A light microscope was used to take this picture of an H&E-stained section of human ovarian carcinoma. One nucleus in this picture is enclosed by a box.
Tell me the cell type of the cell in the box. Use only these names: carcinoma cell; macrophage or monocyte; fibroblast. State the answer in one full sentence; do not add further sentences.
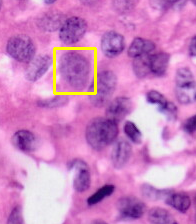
By its classification, the cell in the box is a carcinoma cell.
